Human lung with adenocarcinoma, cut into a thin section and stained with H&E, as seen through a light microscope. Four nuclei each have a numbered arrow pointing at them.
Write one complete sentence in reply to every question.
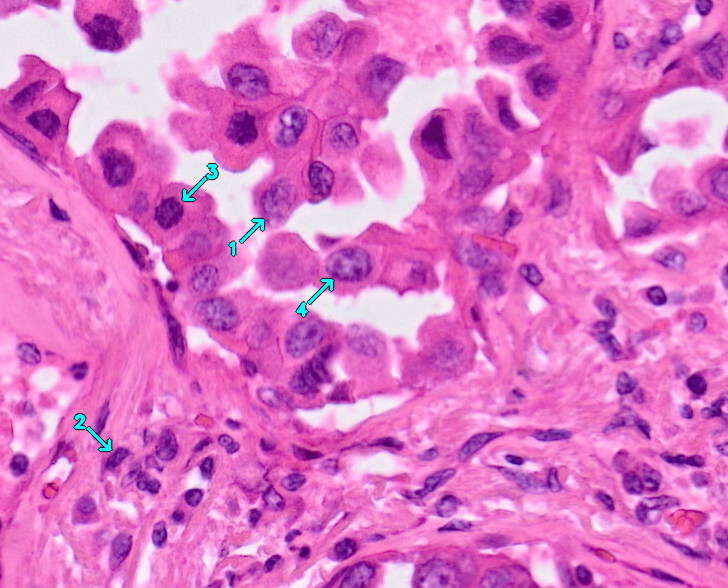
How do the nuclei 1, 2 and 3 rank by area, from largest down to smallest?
Largest first, the order by area is 1, 3, 2.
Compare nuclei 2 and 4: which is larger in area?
It is nucleus 4, which covers about 2.5 times the area of nucleus 2.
